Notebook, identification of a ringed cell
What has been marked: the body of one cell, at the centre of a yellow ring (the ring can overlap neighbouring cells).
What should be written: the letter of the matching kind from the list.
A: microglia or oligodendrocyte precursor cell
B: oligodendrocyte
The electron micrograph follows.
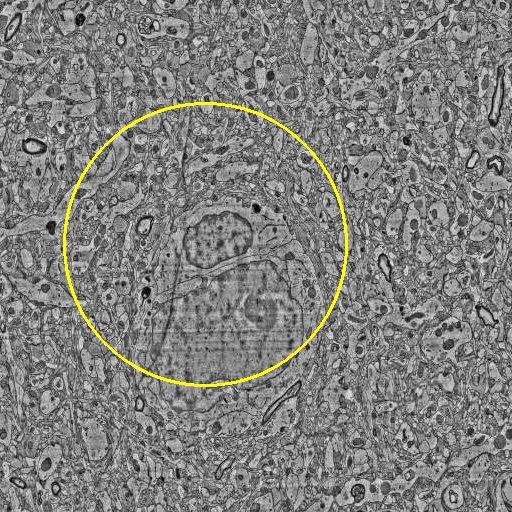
A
